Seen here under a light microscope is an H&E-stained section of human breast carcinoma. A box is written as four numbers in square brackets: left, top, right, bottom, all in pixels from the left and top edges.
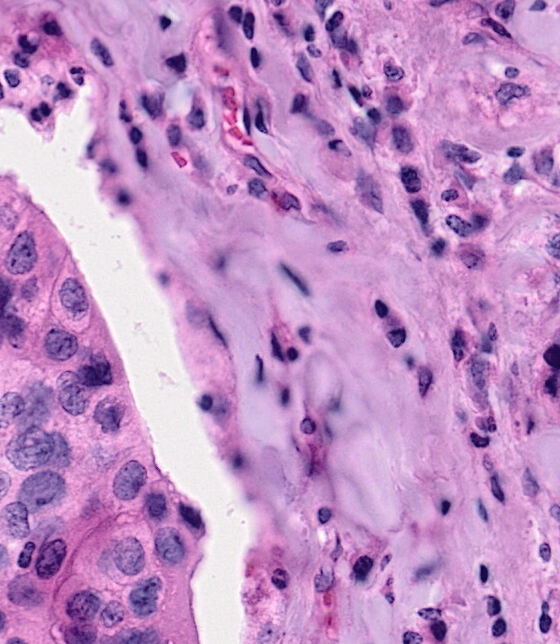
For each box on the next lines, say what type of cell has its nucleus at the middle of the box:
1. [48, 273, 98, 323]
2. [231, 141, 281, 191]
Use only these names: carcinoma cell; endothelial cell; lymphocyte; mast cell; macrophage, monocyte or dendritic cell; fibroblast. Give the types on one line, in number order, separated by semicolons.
carcinoma cell; endothelial cell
